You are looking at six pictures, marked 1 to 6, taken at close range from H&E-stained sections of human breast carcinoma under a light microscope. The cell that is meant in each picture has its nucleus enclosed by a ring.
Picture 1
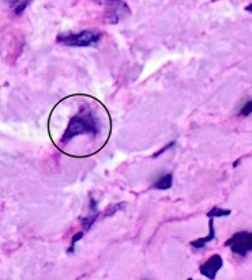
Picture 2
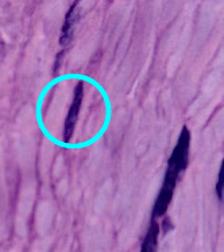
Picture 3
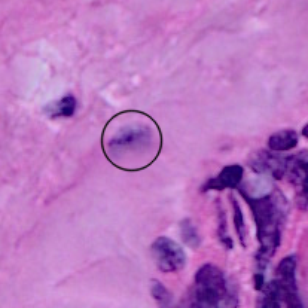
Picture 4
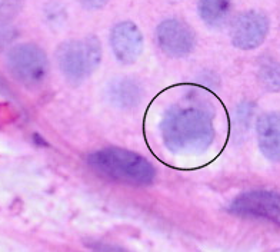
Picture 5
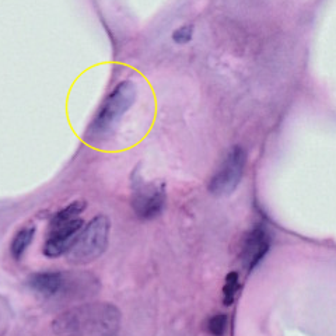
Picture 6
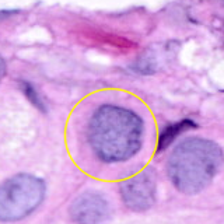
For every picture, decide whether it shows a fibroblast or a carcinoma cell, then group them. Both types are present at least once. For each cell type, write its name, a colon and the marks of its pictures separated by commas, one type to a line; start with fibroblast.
fibroblast: 1, 2, 3, 5
carcinoma cell: 4, 6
